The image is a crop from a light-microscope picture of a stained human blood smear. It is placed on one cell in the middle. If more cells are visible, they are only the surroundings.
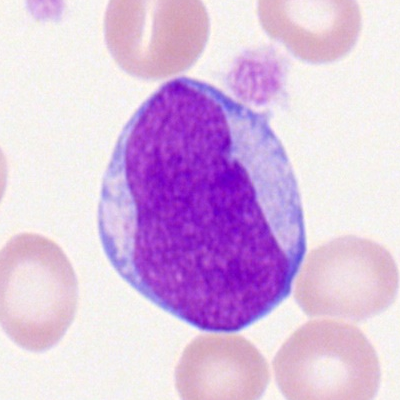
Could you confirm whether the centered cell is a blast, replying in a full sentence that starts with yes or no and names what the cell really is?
Yes, the crop's central cell is a blast.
